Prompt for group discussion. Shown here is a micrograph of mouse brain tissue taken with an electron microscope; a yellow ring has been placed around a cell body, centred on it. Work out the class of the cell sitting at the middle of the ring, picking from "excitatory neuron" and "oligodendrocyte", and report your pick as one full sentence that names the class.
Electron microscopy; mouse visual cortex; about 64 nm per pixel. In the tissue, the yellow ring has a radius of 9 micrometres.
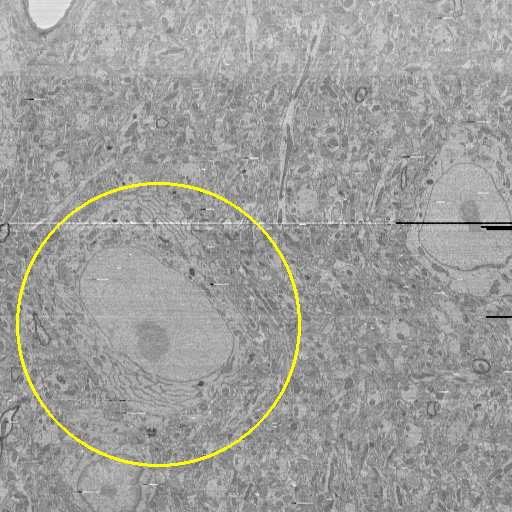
The cell sitting at the middle of the yellow ring is an excitatory neuron.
